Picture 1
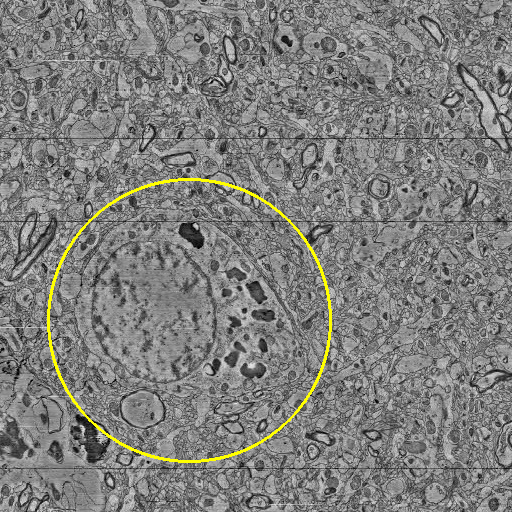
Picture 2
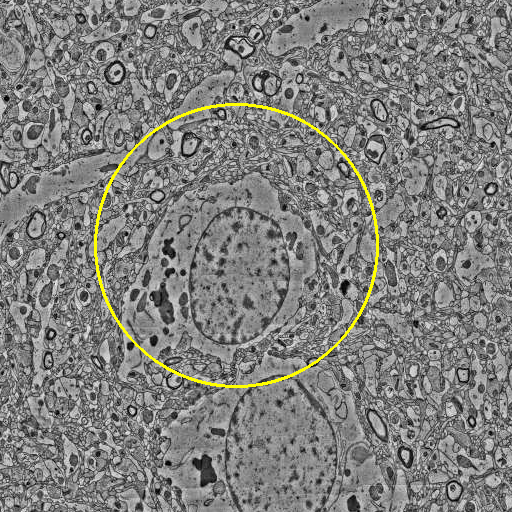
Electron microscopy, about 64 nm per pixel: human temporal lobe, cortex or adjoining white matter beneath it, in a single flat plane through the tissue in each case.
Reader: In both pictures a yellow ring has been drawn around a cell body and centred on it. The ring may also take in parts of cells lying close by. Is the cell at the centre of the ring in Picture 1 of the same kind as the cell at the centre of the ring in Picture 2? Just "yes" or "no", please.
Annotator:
no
